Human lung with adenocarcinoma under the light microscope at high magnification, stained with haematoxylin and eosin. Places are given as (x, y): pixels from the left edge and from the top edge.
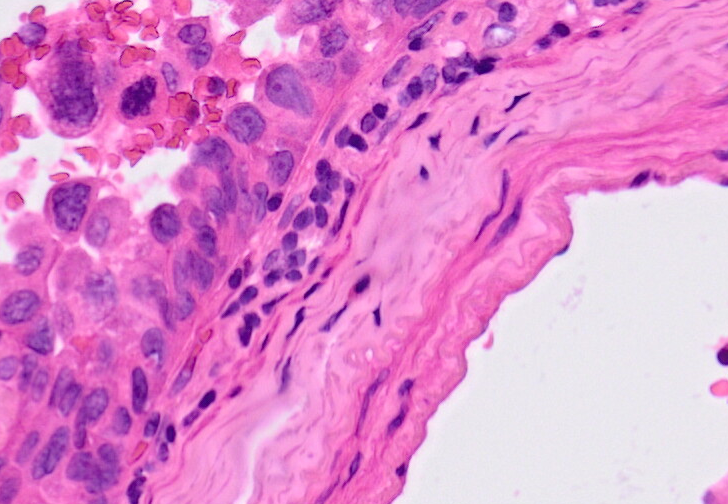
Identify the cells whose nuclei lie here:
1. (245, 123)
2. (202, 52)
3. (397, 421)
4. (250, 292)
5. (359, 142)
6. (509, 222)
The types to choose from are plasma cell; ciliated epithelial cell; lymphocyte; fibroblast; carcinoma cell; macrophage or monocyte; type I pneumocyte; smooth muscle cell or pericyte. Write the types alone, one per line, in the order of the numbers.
carcinoma cell
macrophage or monocyte
smooth muscle cell or pericyte
lymphocyte
lymphocyte
smooth muscle cell or pericyte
